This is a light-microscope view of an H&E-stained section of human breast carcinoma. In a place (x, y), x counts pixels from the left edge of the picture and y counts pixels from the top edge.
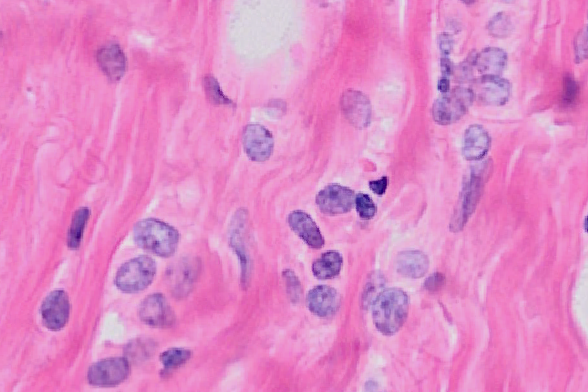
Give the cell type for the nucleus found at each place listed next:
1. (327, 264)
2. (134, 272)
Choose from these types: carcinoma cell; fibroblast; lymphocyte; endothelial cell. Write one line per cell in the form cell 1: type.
cell 1: lymphocyte
cell 2: carcinoma cell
